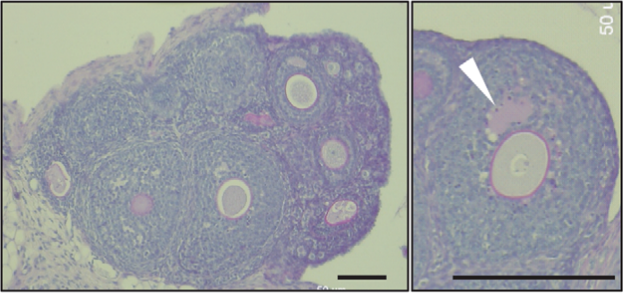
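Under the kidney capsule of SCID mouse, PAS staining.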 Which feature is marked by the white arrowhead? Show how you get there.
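The arrowhead points to a small pale pink space within the many-layered cells around a large oocyte. The oocyte is surrounded by a thick rim of granulosa cells. That points to this answer: antral cavity.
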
